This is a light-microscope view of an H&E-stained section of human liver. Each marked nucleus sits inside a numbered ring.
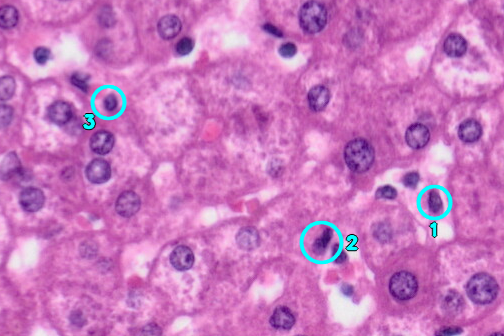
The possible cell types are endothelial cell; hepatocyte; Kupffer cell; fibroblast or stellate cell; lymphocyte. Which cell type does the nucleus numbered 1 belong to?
Kupffer cell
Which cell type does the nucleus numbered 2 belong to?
fibroblast or stellate cell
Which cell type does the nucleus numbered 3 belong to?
lymphocyte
